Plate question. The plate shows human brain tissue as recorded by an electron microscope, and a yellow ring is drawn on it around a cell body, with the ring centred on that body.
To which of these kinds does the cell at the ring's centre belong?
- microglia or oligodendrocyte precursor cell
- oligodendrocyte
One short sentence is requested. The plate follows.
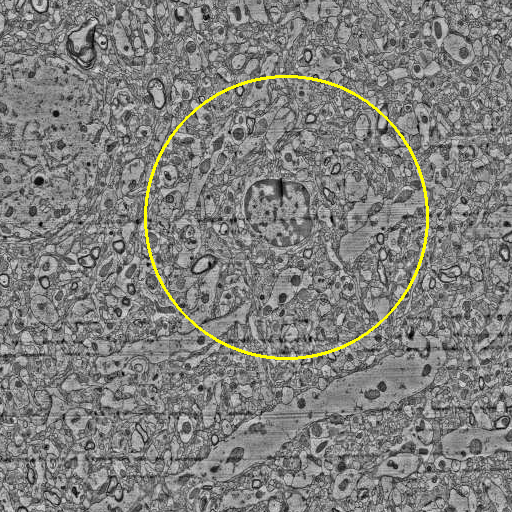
The cell at the ring's centre is a microglial cell or oligodendrocyte precursor cell.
